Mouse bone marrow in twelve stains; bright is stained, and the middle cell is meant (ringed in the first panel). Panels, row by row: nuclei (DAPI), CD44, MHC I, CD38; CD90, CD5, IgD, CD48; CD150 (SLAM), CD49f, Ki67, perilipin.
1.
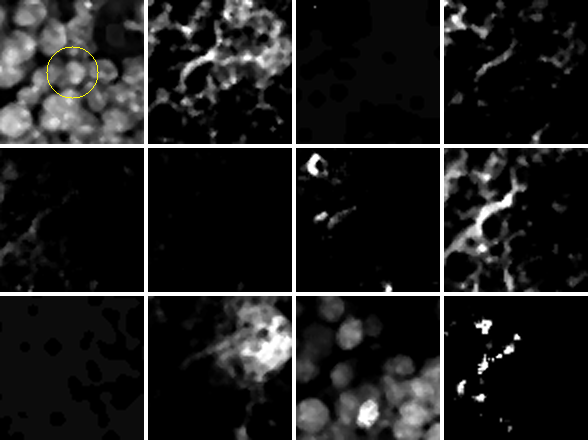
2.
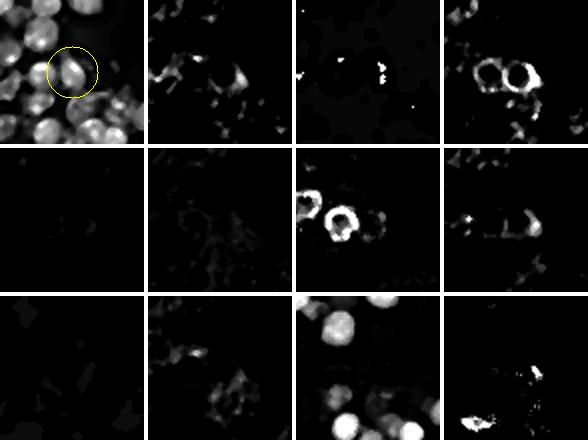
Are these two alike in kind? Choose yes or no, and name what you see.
No. First a neutrophil, second a B cell.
